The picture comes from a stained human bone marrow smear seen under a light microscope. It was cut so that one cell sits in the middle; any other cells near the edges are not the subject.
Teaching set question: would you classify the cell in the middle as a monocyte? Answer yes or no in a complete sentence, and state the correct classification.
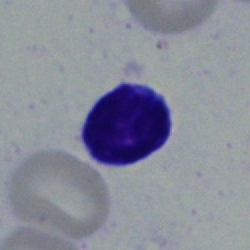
No, at the middle of the crop is a lymphocyte, not a monocyte.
